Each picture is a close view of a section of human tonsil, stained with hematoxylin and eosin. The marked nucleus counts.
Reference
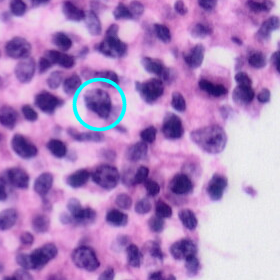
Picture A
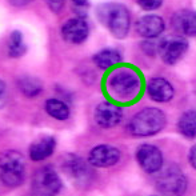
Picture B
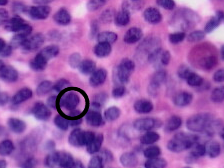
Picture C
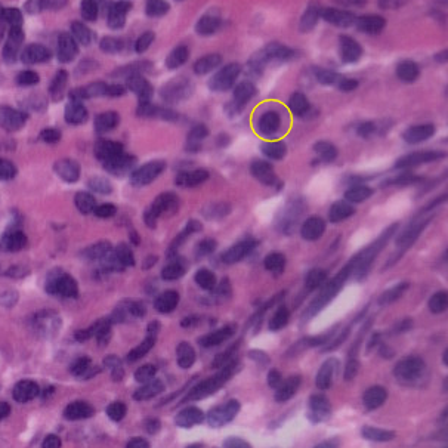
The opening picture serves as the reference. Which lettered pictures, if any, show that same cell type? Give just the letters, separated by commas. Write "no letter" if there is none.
no letter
